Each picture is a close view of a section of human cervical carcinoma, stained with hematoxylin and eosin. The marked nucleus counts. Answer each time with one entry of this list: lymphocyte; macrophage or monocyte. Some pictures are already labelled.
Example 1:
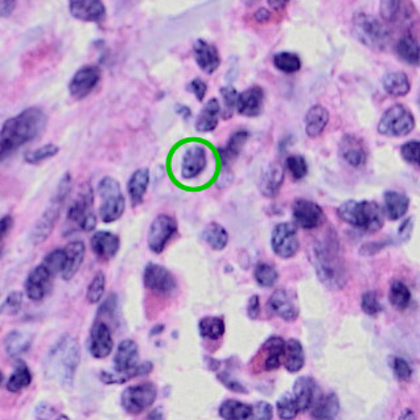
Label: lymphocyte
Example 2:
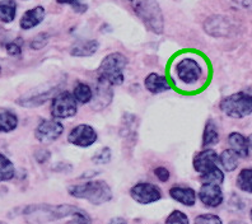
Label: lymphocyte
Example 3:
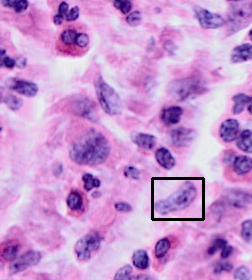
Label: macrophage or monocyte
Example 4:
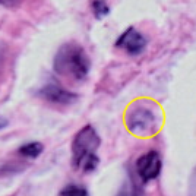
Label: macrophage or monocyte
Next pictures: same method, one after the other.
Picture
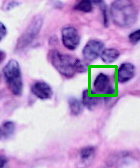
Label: lymphocyte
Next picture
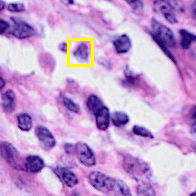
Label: lymphocyte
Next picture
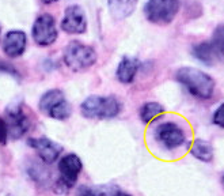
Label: lymphocyte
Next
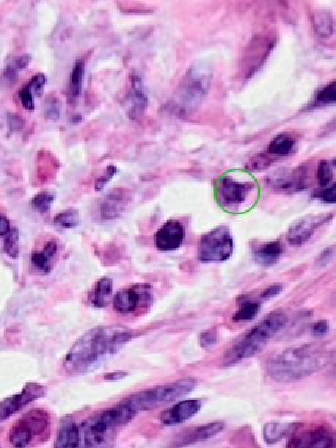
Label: macrophage or monocyte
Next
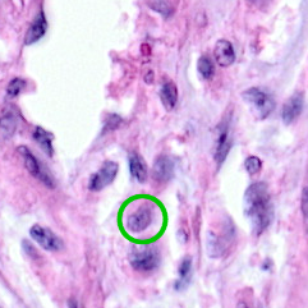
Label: macrophage or monocyte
